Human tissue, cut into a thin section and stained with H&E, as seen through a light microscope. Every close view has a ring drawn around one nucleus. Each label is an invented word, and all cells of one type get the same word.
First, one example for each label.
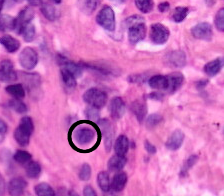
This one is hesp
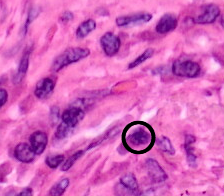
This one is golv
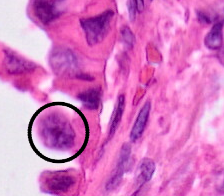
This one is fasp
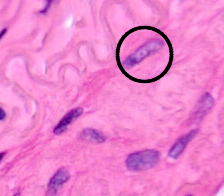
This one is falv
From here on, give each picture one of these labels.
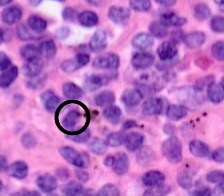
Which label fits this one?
hesp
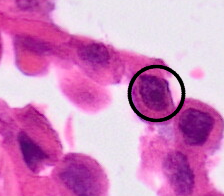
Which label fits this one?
fasp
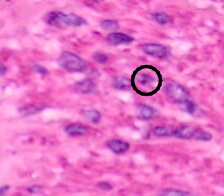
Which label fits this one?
falv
